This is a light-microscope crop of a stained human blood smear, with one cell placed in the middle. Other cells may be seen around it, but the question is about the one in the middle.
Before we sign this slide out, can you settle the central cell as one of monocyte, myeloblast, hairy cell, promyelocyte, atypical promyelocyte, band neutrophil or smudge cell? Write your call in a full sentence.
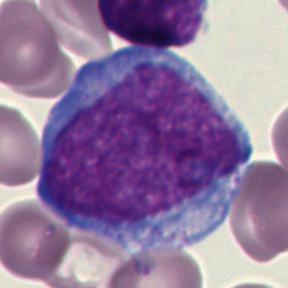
The cell at the centre of the field is a promyelocyte.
